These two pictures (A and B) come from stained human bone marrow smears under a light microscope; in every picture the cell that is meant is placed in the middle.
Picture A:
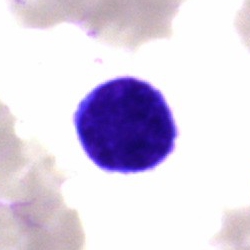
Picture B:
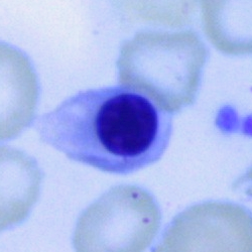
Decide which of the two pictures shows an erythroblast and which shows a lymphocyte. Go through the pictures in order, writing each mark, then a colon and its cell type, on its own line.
A: lymphocyte
B: erythroblast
